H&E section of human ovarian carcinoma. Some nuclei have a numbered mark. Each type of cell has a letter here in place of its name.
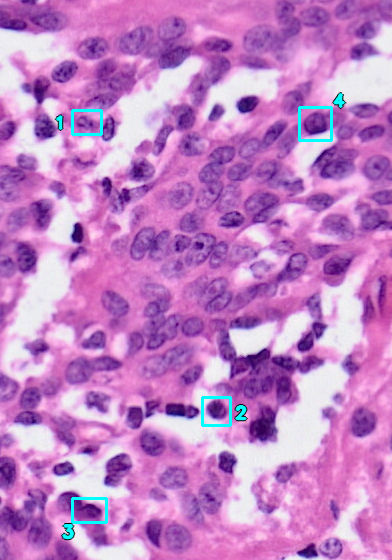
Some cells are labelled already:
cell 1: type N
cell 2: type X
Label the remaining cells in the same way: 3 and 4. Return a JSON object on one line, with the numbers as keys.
{"3": "type X", "4": "type X"}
